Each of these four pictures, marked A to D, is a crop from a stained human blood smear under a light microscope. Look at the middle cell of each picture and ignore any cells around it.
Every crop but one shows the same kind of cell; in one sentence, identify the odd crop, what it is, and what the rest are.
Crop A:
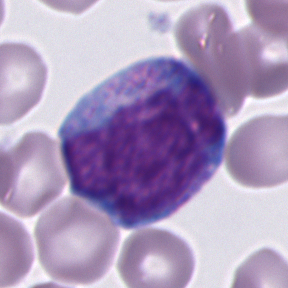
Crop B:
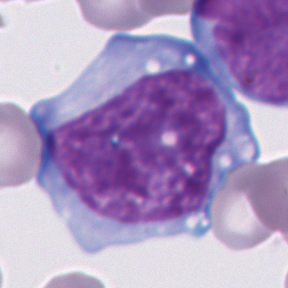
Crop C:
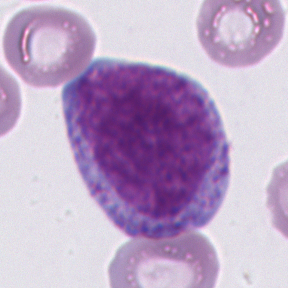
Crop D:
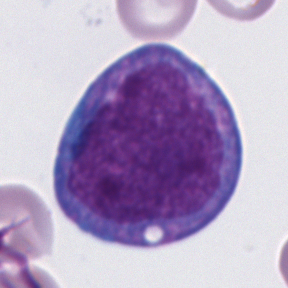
Crop B is a myeloblast, and the other crops all show promyelocytes.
